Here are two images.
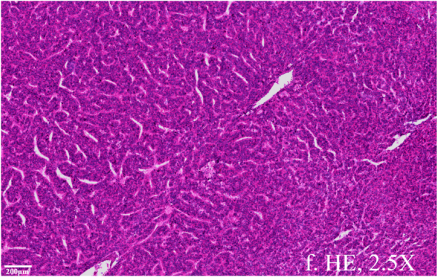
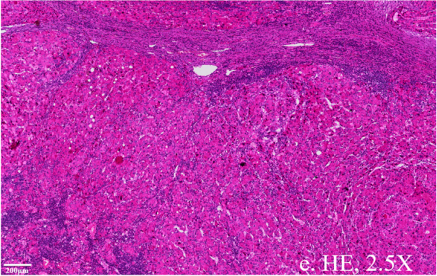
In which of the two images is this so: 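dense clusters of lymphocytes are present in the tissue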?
The second image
